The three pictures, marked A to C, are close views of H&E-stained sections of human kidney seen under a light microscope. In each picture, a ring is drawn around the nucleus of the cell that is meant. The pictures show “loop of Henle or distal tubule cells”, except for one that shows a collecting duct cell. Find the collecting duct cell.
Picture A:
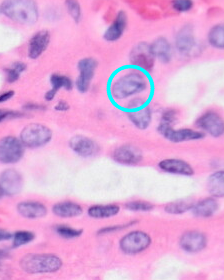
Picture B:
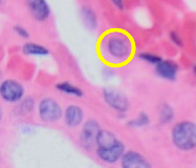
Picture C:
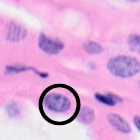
A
